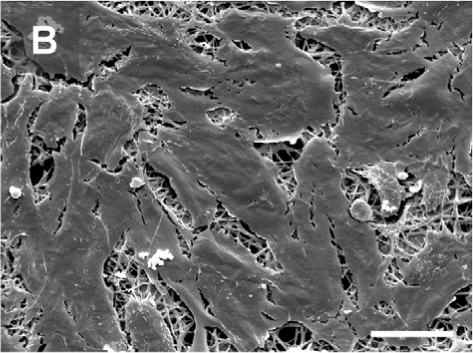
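Scanning electron micrograph of a closely packed layer of flattened cultured cells lying on a meshwork of fine fibres. The cells are elongated to irregular in outline with smooth surfaces, and their edges abut or overlap one another. Narrow clefts between neighbouring cells reveal the fibrous substrate beneath. A few rounded cells and small particles sit on top of the layer.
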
